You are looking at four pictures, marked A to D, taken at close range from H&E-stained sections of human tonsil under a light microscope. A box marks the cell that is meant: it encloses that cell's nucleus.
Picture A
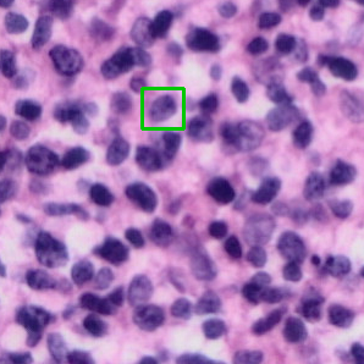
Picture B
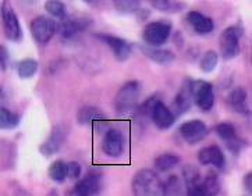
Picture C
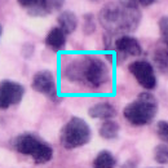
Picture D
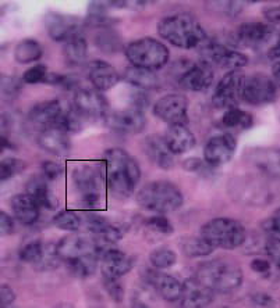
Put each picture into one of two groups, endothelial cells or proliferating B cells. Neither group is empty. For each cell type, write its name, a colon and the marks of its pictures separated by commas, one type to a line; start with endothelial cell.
endothelial cell: B
proliferating B cell: A, C, D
